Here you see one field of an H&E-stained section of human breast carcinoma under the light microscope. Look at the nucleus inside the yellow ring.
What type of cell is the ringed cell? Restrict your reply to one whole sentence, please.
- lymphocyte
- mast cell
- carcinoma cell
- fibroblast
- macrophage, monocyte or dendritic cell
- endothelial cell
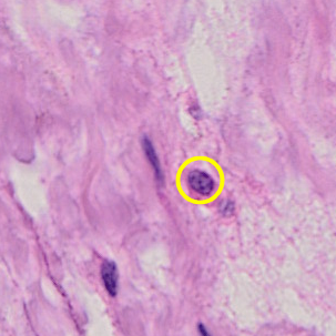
Placed in its cell category, the ringed cell is a mast cell.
